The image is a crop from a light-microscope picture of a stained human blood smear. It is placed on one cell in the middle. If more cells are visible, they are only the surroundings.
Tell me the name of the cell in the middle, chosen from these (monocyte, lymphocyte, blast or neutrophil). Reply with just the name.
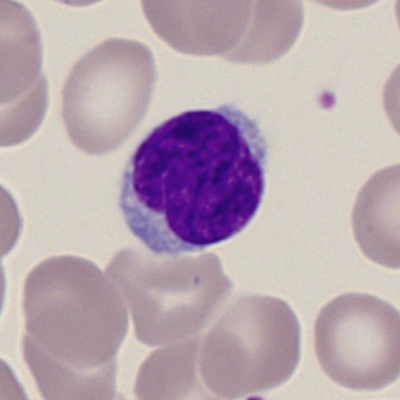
lymphocyte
